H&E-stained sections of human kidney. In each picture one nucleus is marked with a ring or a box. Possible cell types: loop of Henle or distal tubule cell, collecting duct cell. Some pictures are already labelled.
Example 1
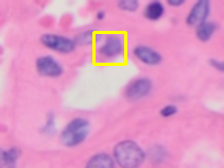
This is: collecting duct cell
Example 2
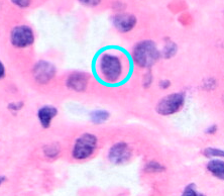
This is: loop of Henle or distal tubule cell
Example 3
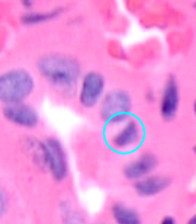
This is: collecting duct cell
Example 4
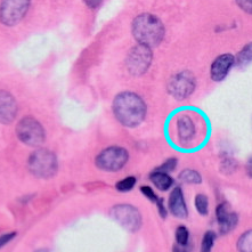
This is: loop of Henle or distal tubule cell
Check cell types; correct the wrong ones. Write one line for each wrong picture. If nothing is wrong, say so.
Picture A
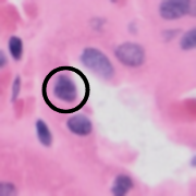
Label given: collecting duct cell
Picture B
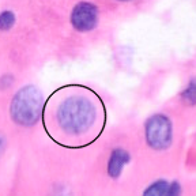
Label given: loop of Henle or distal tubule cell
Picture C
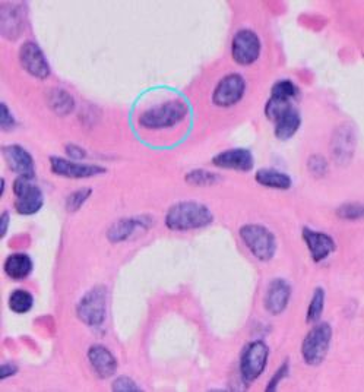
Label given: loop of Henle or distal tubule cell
A: loop of Henle or distal tubule cell, not collecting duct cell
